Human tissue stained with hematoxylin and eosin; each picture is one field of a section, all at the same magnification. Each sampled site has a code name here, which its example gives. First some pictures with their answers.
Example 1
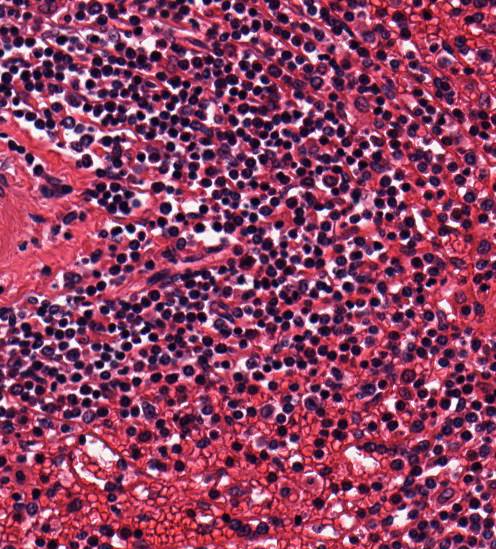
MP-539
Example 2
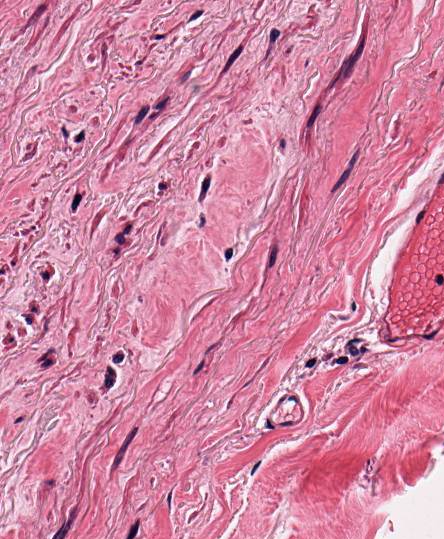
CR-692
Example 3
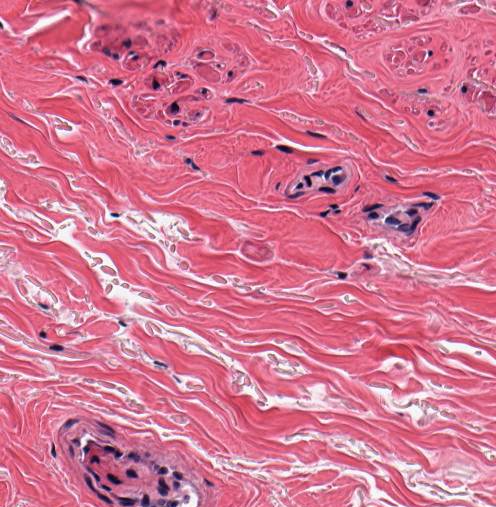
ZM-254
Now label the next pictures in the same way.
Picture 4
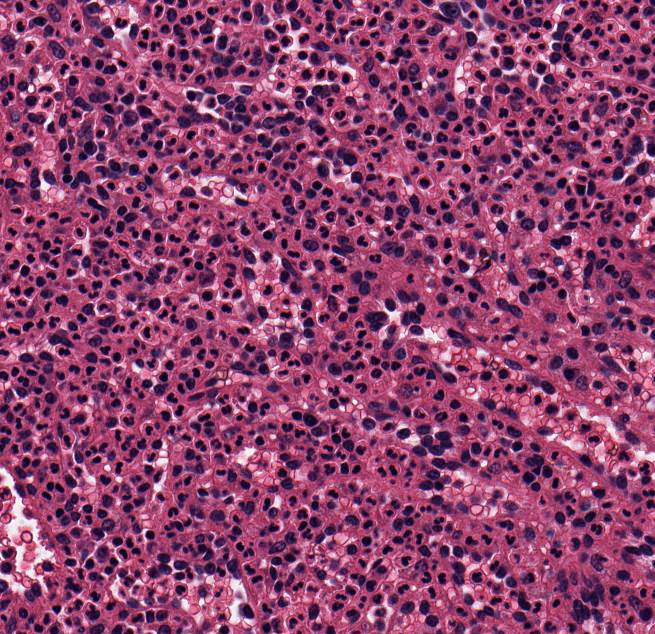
MP-539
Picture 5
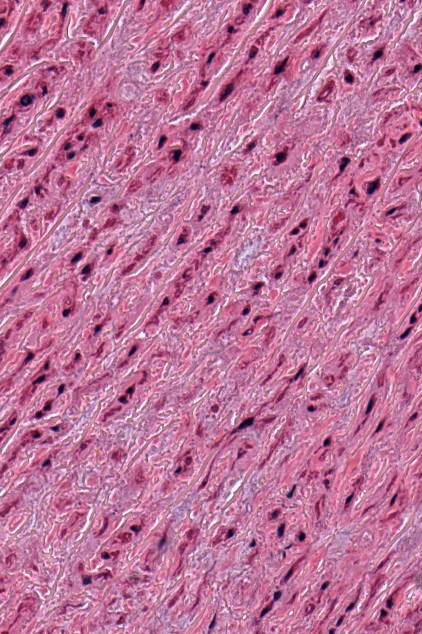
CR-692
